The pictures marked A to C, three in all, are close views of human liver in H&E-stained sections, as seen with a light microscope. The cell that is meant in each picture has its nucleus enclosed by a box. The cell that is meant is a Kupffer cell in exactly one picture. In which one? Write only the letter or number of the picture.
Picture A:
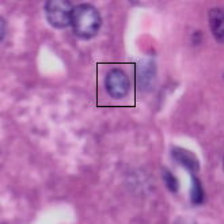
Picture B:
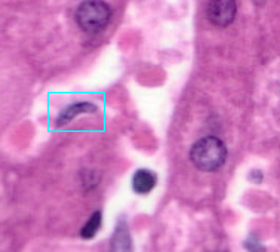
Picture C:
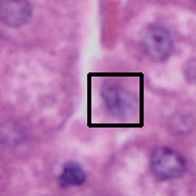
C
